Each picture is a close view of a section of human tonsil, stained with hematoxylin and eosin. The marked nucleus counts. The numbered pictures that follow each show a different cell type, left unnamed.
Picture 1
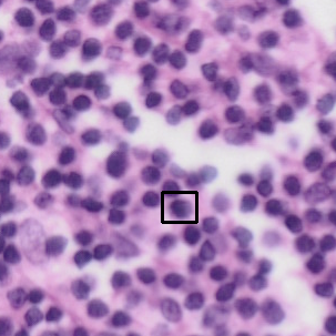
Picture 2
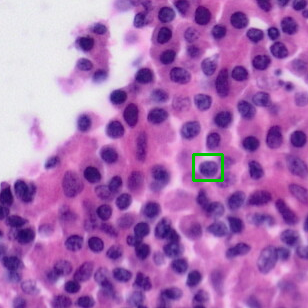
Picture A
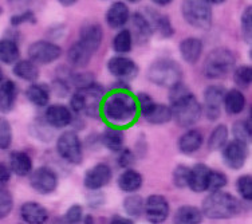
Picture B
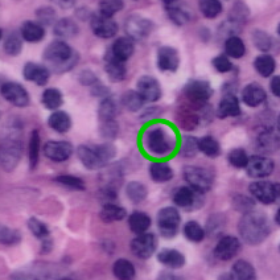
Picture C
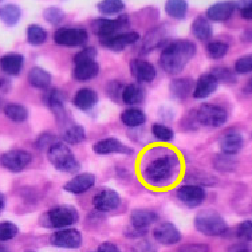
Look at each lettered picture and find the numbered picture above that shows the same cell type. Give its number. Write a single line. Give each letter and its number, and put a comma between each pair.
A 1, B 2, C 2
